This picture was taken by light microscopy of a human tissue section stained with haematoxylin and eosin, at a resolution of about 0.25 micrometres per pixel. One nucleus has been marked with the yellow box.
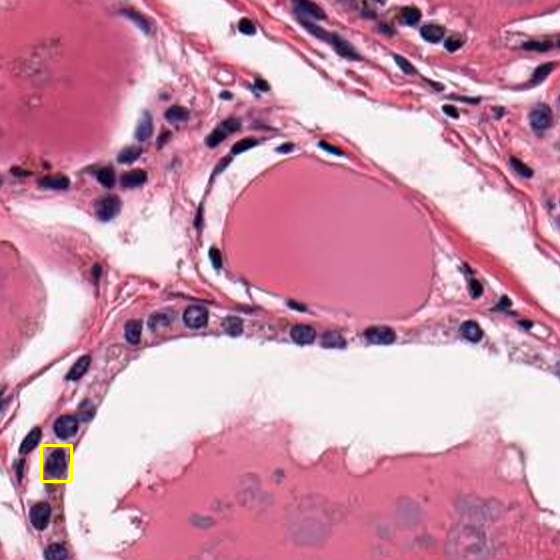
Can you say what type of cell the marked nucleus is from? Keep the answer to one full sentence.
The marked nucleus sits within a thyroid follicular cell.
